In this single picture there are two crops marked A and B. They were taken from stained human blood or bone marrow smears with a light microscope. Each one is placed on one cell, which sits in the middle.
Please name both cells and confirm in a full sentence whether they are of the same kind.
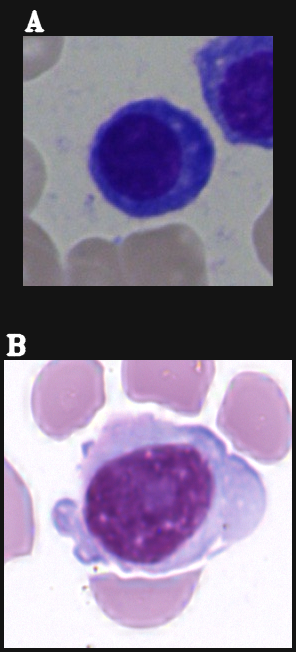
Yes, both crops show plasma cells, one in each.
